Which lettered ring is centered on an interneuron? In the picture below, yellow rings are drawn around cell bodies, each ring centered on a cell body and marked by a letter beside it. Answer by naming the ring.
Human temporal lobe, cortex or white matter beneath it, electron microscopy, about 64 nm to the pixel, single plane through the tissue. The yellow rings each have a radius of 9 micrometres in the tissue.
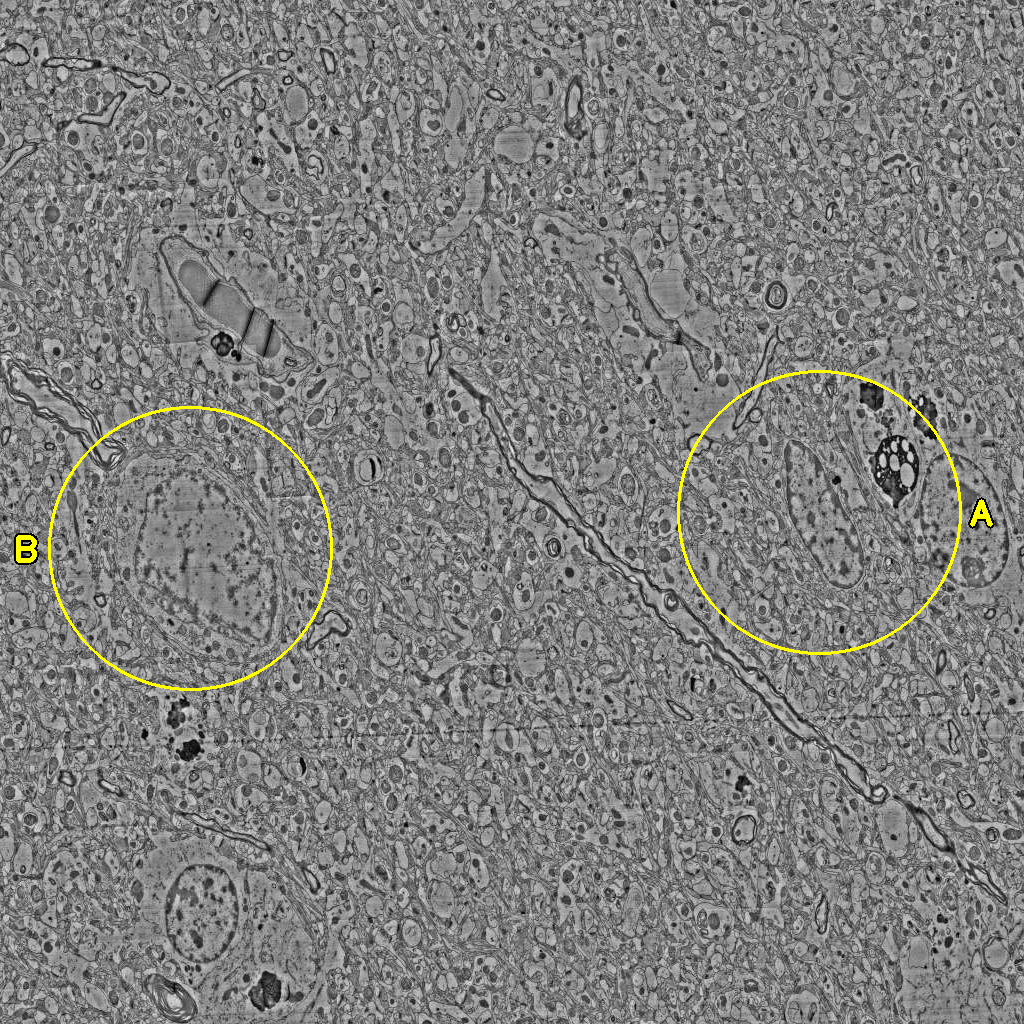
Ring B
